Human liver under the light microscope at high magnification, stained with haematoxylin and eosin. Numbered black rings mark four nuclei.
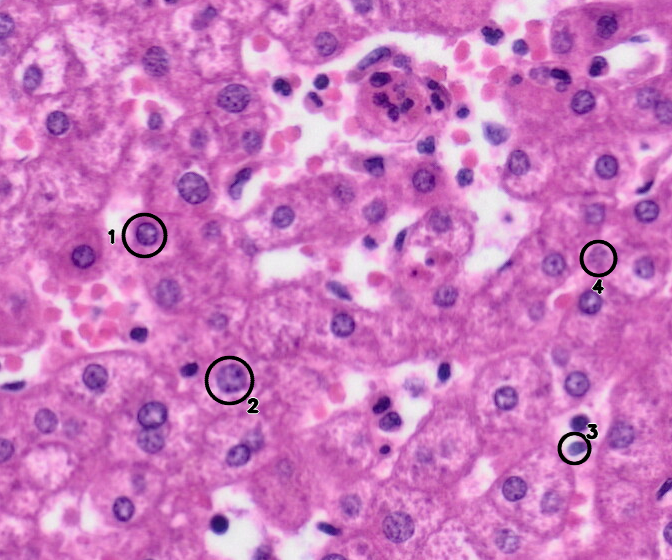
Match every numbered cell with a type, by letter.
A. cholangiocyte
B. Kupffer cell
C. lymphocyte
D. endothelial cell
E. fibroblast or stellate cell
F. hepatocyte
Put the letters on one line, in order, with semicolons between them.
F; F; C; F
